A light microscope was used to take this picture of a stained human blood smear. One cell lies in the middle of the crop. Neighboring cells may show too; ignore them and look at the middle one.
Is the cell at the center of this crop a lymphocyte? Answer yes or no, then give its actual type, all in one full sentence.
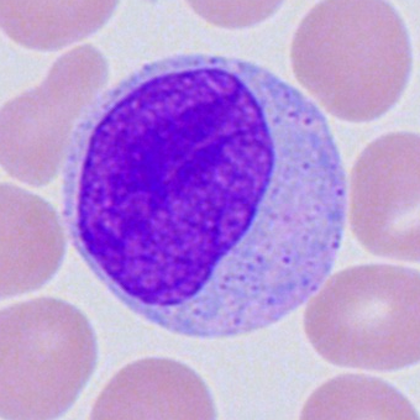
No, the cell at the center of this crop is a monocyte instead of a lymphocyte.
